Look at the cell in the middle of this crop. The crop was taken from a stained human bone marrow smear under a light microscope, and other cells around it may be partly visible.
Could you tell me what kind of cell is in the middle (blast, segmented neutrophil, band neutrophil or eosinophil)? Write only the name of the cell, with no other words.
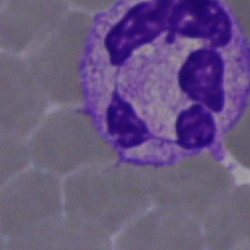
segmented neutrophil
